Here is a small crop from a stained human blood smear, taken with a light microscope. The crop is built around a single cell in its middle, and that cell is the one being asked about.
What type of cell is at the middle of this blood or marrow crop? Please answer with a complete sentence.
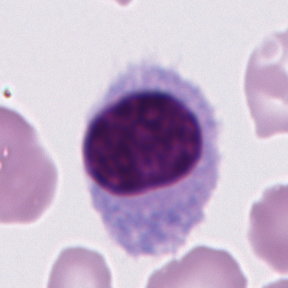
The cell of interest, located centrally, is a hairy cell.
